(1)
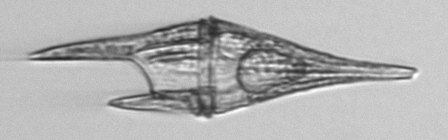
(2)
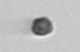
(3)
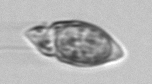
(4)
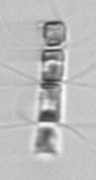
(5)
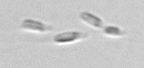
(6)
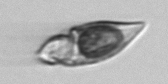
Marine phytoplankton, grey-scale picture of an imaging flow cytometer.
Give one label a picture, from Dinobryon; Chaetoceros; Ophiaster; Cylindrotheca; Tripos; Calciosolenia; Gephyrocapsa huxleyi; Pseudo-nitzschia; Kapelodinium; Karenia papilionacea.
Picture 1: Tripos
Picture 2: Gephyrocapsa huxleyi
Picture 3: Kapelodinium
Picture 4: Chaetoceros
Picture 5: Dinobryon
Picture 6: Kapelodinium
